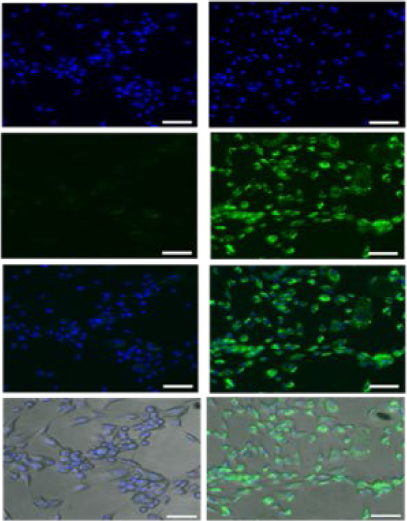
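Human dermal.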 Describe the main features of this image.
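These are cultured fibroblasts in a loose monolayer, seen as elongated, spindle-shaped cells with tapering processes in the brightfield tiles and single oval blue nuclei. In the right column a green signal fills the cytoplasm around the nuclei of many cells, outlining their bodies, whereas the left column shows almost no green.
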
